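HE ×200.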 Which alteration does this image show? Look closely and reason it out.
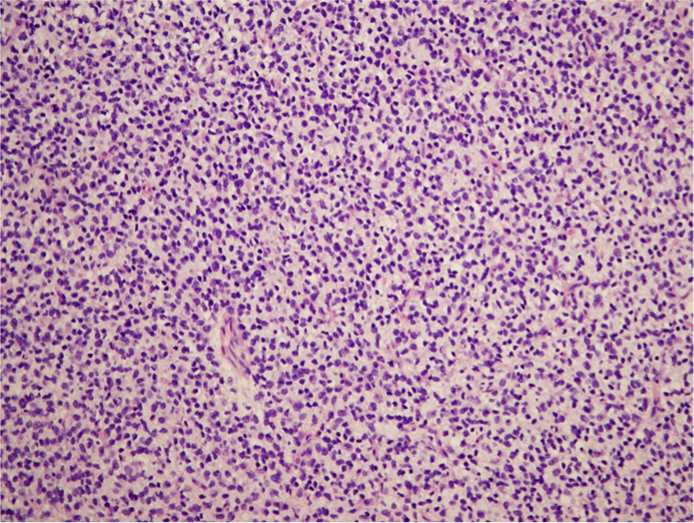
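Sheets of closely packed cells with little intervening stroma. Crowded, dark-staining nuclei fill nearly the whole field. Only a few small vessels interrupt the cell sheets. On this evidence: Cellular tumor.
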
